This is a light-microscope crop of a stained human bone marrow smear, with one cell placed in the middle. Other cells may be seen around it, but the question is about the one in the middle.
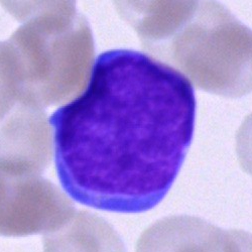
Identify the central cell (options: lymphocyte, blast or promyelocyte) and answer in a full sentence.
The middle of this crop is occupied by a blast.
